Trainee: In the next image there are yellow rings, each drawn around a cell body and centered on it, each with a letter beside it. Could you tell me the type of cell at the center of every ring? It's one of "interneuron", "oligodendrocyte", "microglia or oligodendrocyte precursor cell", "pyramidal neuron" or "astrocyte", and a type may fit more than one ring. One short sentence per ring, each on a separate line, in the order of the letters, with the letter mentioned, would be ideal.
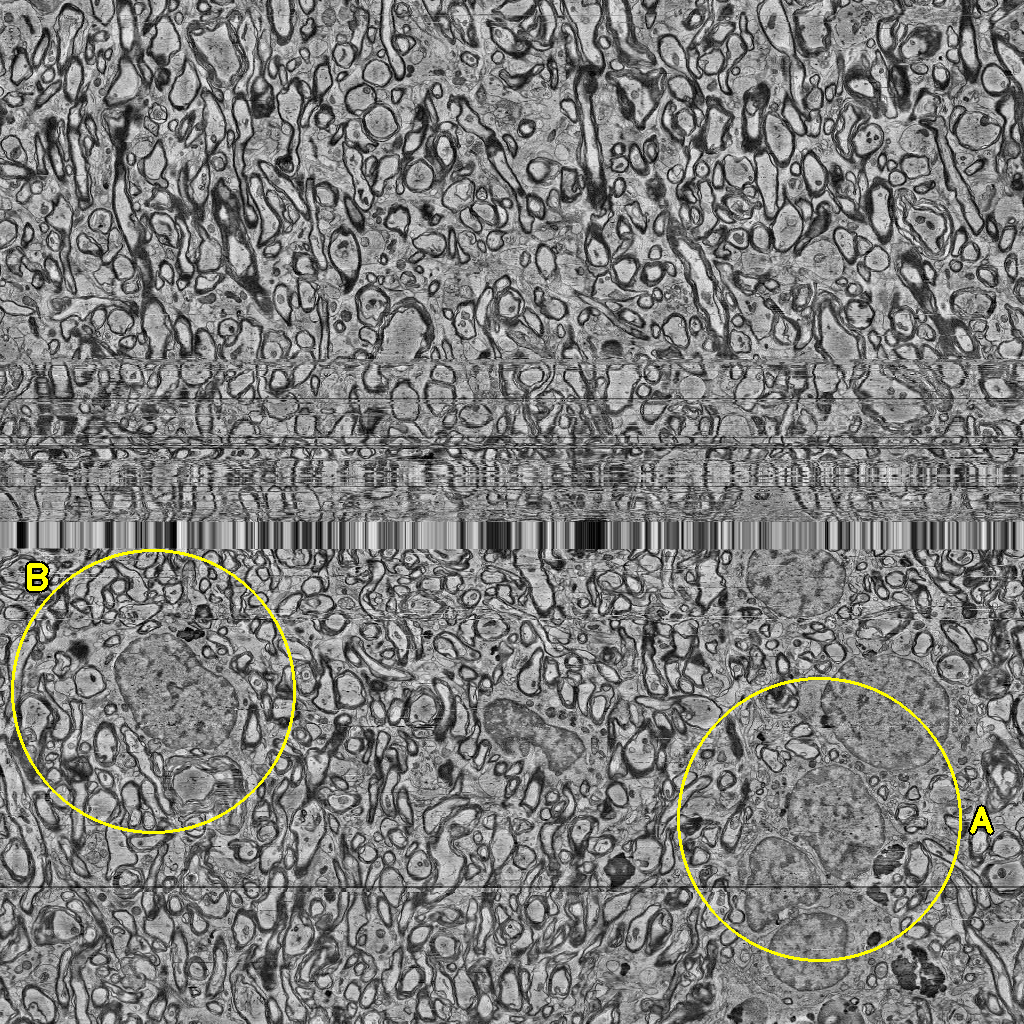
What ring A is centered on is an oligodendrocyte.
What ring B is centered on is an oligodendrocyte.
